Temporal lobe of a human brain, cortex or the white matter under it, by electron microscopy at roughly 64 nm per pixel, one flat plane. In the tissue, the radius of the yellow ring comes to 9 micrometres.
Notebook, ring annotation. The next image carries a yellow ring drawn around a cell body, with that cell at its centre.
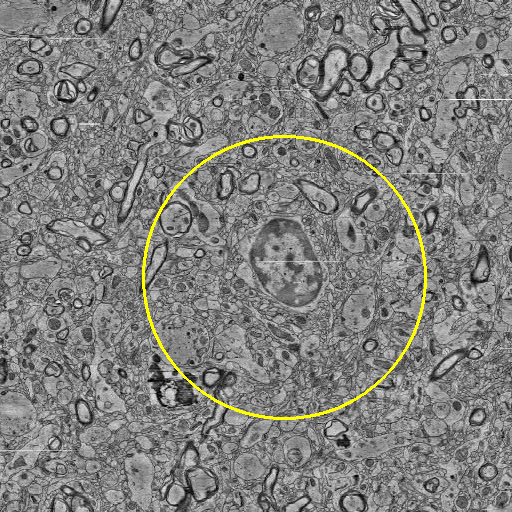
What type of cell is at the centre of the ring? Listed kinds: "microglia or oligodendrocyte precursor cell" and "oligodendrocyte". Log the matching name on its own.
microglia or oligodendrocyte precursor cell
